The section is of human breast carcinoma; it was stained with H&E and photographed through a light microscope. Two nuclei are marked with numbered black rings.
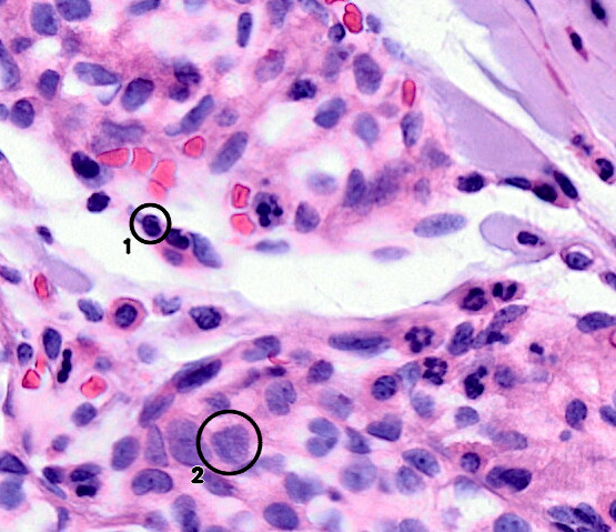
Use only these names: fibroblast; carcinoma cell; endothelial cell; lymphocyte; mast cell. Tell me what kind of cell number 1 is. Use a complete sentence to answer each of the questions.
In this section, number 1 marks a lymphocyte.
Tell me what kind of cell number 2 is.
The marked cell bearing number 2 is a carcinoma cell.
